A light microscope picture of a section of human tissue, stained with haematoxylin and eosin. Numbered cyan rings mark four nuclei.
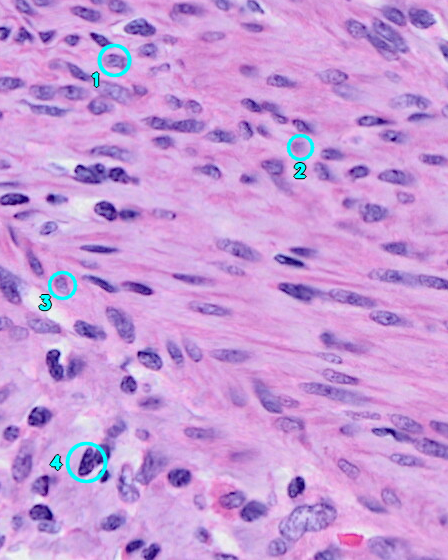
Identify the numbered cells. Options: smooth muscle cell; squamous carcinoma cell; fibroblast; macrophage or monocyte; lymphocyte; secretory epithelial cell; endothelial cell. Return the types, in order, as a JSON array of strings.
["smooth muscle cell", "smooth muscle cell", "smooth muscle cell", "lymphocyte"]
